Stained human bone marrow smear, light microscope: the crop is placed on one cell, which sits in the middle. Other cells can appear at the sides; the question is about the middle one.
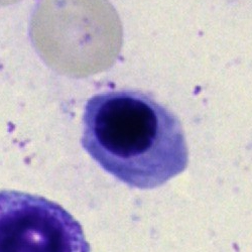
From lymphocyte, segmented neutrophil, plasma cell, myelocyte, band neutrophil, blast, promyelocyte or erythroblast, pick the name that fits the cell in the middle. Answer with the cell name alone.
erythroblast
